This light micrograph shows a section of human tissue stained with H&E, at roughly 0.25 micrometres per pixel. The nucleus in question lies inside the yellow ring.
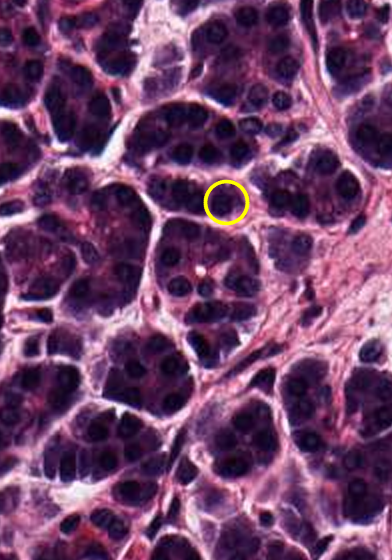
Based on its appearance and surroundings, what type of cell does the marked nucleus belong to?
pancreatic acinar cell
